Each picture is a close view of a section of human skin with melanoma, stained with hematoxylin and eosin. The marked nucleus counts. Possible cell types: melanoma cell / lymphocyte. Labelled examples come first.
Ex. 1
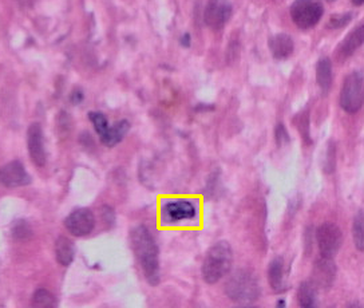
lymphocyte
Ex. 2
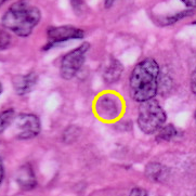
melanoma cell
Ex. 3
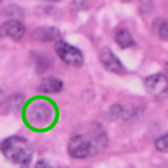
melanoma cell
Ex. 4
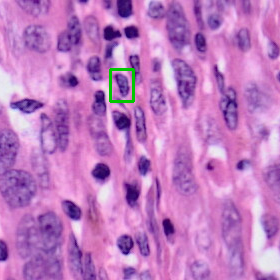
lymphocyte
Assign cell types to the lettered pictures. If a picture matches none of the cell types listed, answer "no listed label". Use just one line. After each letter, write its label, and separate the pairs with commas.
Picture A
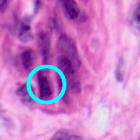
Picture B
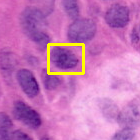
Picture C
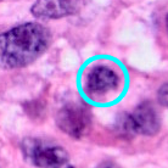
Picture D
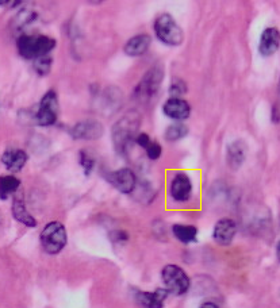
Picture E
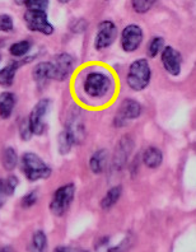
A no listed label, B no listed label, C melanoma cell, D lymphocyte, E lymphocyte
